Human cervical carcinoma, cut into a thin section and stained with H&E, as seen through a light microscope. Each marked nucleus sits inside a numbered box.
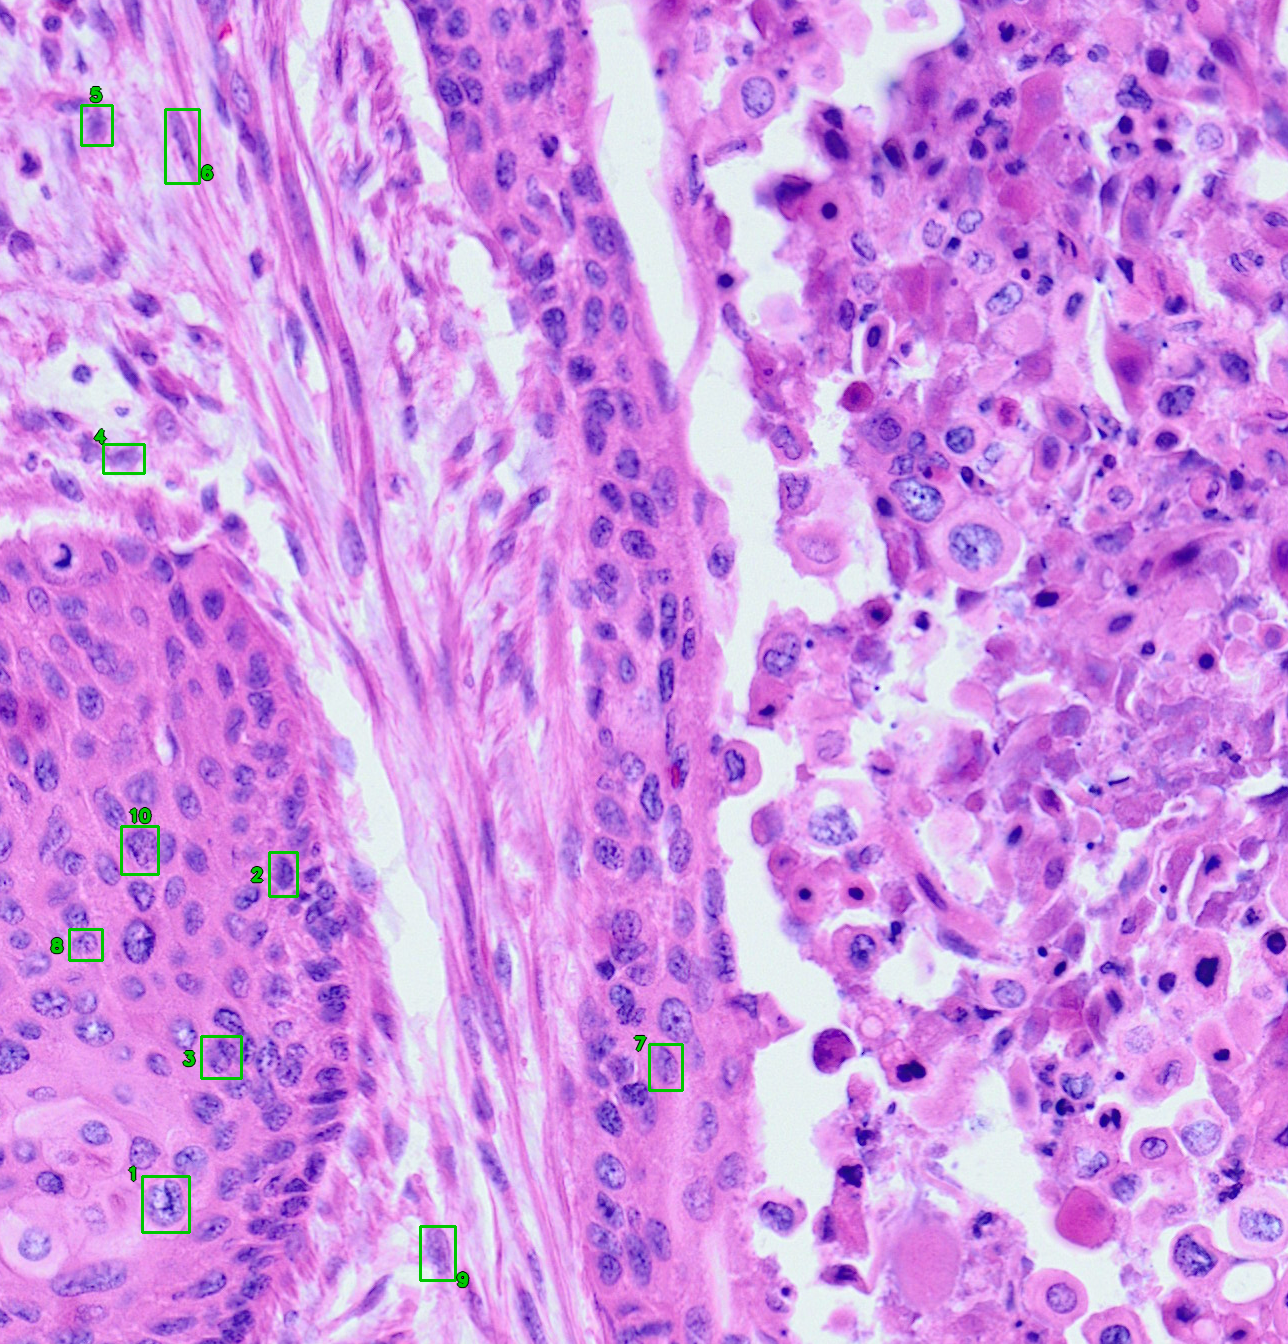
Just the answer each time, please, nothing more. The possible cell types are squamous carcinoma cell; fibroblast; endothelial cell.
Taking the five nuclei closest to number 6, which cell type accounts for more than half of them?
endothelial cell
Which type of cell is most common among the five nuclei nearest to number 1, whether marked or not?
squamous carcinoma cell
